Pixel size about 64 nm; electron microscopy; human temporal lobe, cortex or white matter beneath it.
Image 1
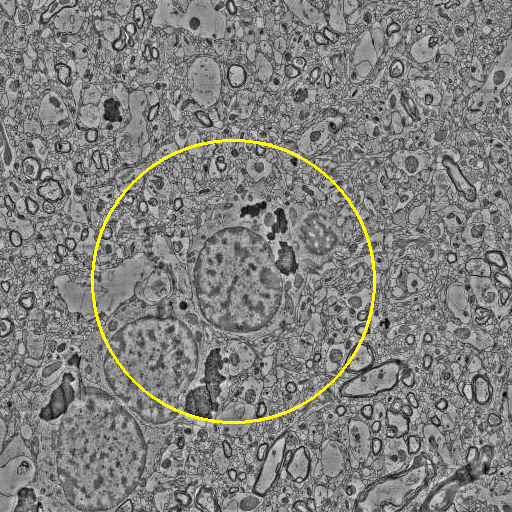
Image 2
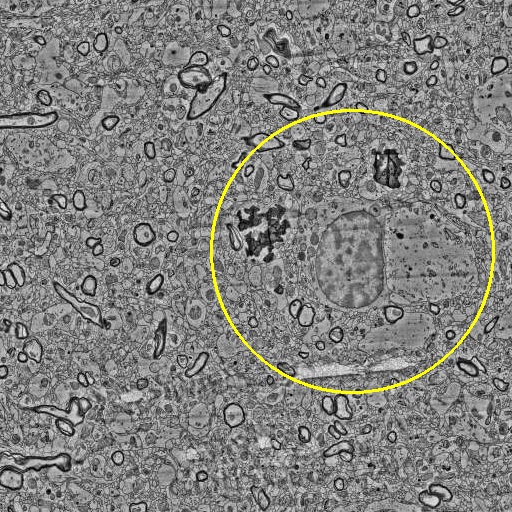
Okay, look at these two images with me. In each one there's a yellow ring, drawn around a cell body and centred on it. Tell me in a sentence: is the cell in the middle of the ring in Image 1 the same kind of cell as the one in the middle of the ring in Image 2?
Yes, they're the same kind of cell.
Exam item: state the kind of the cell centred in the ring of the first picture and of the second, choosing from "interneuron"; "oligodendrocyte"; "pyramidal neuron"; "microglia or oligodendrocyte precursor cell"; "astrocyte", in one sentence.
Each of the two rings surrounds an oligodendrocyte.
